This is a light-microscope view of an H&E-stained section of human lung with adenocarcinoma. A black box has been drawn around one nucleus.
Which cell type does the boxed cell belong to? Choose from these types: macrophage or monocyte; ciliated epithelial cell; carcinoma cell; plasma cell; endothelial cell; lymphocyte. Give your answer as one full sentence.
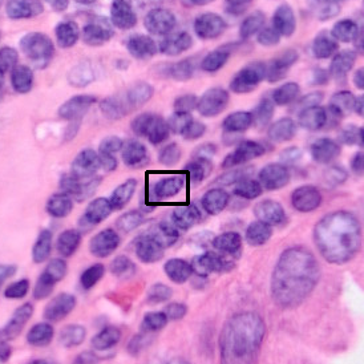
It is a lymphocyte that the boxed cell represents.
